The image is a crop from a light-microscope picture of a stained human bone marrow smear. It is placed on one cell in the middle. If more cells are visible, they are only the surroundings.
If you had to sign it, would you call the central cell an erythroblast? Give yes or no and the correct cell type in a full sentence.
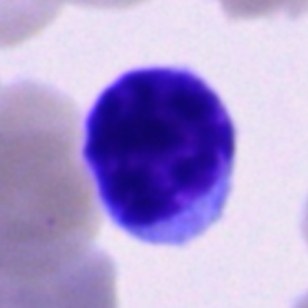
No, the middle of this crop is occupied by a lymphocyte rather than an erythroblast.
